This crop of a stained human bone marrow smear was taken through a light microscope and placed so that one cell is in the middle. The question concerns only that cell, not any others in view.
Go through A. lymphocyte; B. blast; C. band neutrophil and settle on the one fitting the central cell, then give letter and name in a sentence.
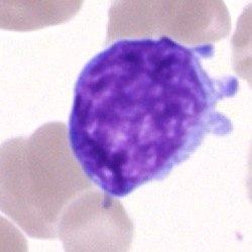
The middle of the crop contains a blast, so option B is right.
